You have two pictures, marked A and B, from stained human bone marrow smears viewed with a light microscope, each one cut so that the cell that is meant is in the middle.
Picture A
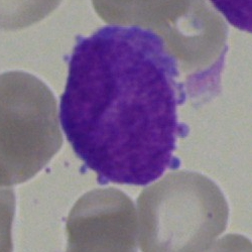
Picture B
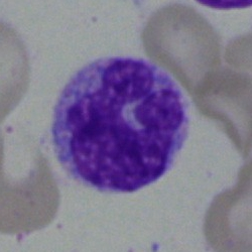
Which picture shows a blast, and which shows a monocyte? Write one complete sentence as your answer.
Picture B shows a monocyte, while picture A shows a blast.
